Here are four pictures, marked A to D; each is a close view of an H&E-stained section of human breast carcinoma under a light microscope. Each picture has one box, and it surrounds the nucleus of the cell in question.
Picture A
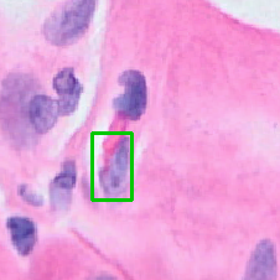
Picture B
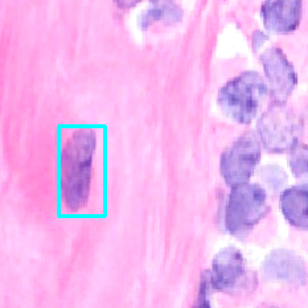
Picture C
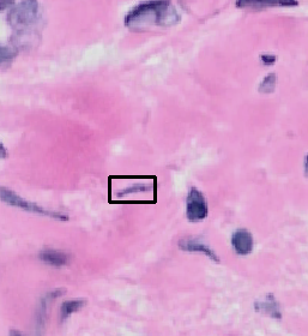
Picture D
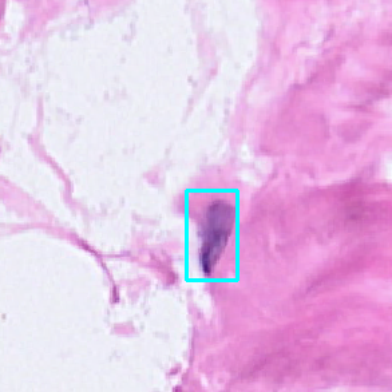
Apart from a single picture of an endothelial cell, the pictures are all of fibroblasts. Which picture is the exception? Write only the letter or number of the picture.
A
